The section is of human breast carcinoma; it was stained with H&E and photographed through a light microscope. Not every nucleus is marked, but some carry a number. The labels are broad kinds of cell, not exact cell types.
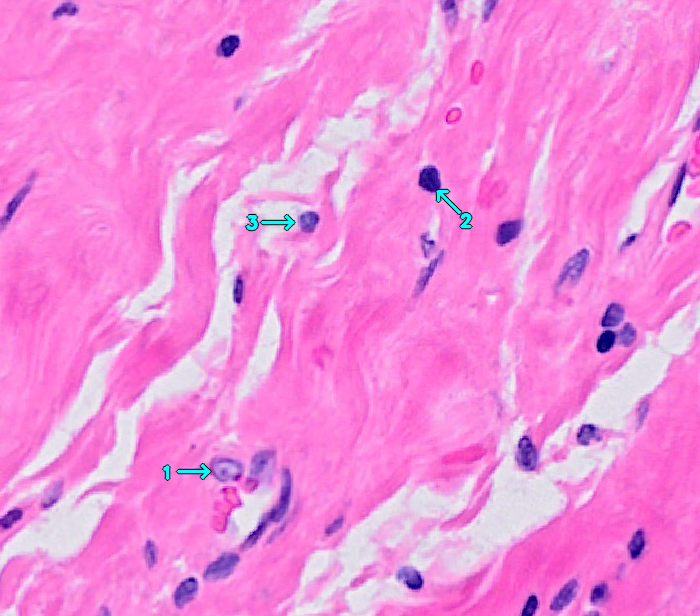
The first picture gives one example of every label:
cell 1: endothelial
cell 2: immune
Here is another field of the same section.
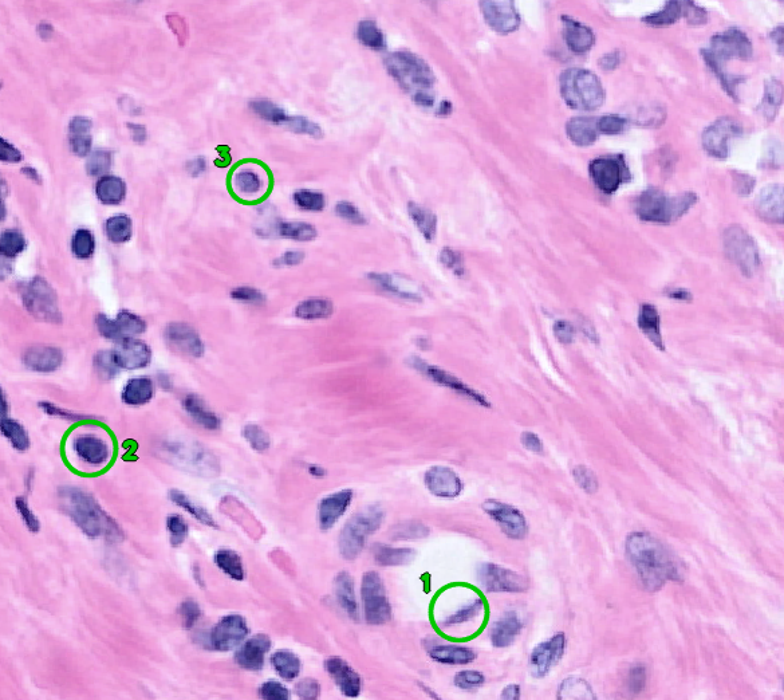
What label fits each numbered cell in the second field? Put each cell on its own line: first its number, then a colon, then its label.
1: endothelial
2: immune
3: immune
